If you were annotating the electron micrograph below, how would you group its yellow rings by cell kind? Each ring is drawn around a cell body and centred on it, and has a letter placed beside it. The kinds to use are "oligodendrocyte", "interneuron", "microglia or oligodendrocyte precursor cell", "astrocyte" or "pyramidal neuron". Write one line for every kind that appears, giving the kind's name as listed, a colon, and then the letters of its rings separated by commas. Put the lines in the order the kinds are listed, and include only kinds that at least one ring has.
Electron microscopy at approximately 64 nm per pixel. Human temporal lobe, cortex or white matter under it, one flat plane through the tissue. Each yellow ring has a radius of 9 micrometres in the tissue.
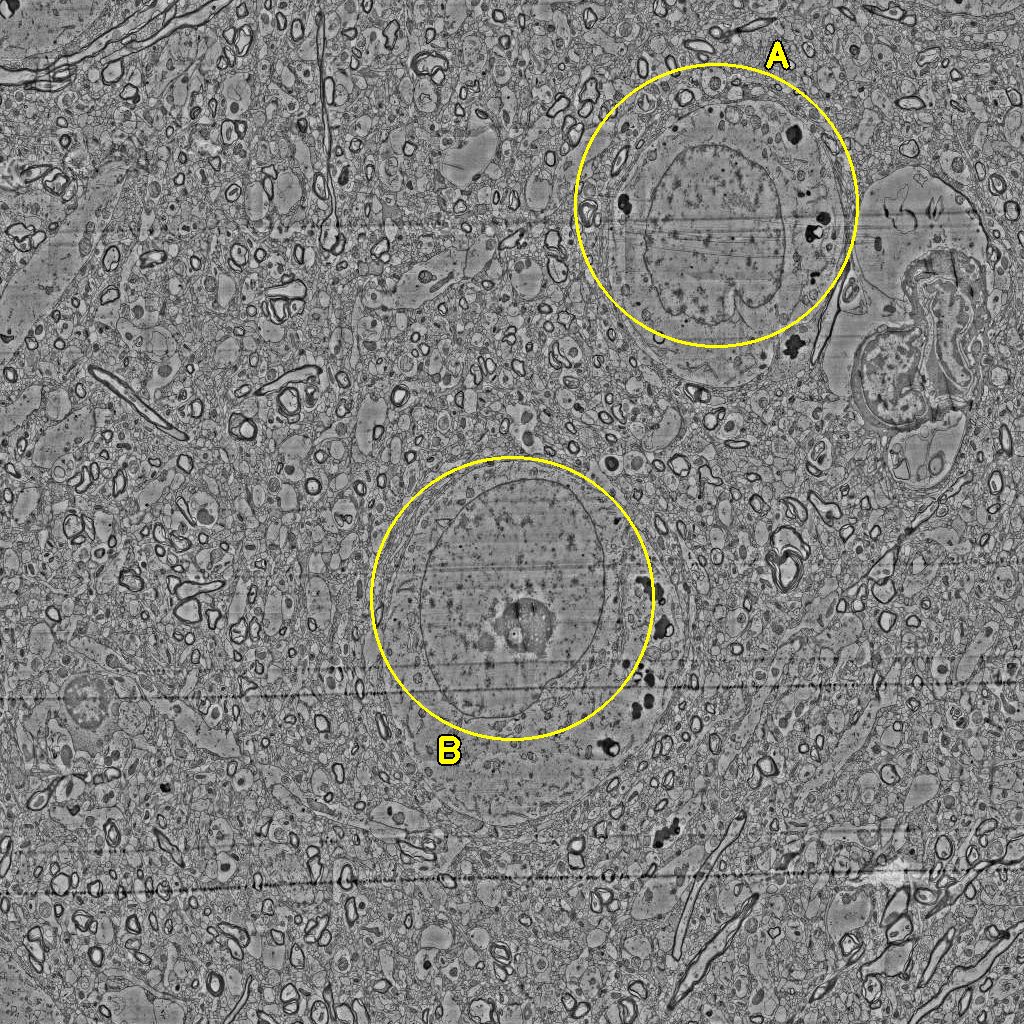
pyramidal neuron: A, B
